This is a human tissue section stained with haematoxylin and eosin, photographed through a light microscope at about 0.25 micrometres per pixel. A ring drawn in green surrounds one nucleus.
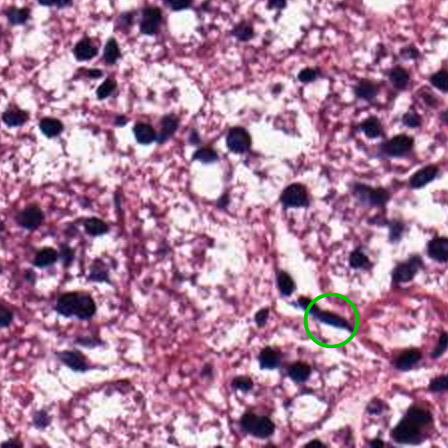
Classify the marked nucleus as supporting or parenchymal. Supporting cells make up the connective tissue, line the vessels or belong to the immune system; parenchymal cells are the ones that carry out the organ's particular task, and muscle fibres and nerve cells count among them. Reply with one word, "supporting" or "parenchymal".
supporting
